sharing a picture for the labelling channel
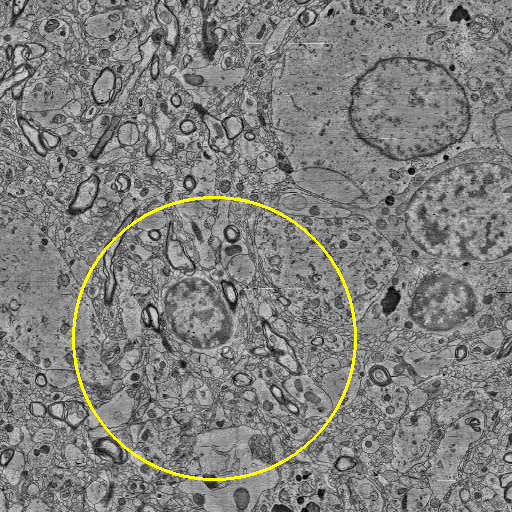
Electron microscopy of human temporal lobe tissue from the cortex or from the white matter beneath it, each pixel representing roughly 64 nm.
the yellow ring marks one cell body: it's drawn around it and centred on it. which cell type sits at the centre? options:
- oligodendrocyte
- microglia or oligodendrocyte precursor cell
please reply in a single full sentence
In the picture, the cell at the ring's centre is a microglial cell or oligodendrocyte precursor cell, going by the list.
